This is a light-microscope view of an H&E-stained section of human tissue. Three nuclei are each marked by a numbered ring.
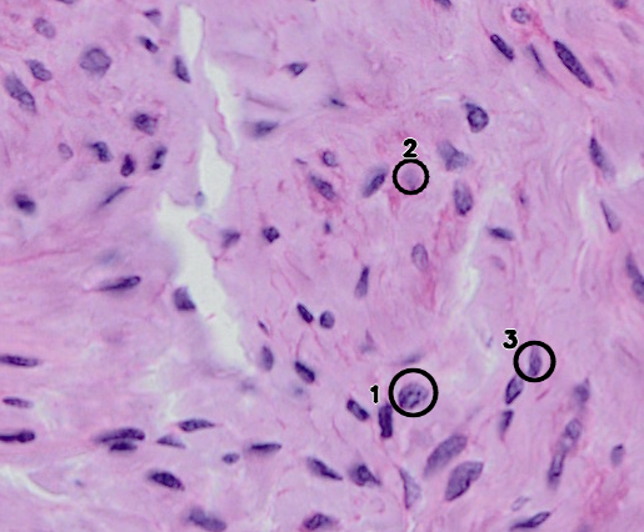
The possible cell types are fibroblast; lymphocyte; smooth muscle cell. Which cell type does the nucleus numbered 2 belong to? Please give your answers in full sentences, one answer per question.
Cell 2 in the field of view is a smooth muscle cell.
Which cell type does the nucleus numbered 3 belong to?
Cell number 3 in this section is a fibroblast.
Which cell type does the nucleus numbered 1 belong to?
That cell with number 1 is a fibroblast.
